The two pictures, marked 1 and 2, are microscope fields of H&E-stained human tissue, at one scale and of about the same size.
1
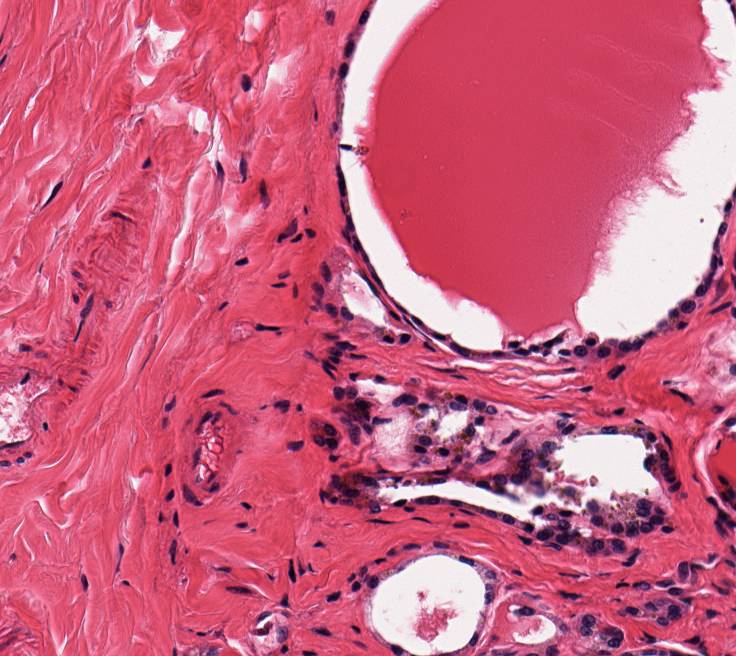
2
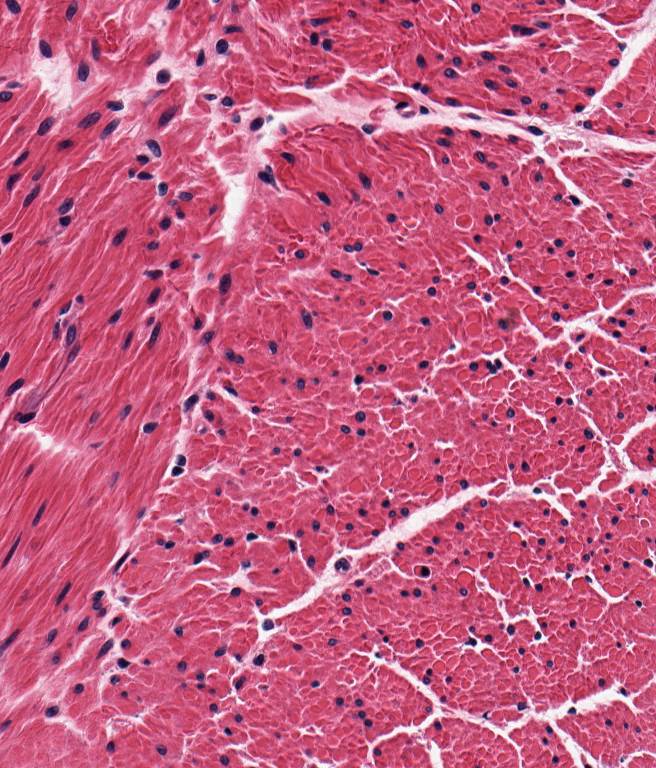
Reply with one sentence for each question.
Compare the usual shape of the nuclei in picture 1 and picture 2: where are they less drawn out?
The nuclei are rounder in picture 2.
